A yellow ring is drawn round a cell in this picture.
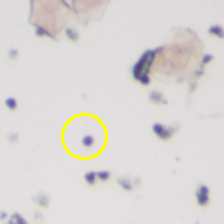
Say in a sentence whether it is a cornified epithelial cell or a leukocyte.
The cell in the ring is a leukocyte.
